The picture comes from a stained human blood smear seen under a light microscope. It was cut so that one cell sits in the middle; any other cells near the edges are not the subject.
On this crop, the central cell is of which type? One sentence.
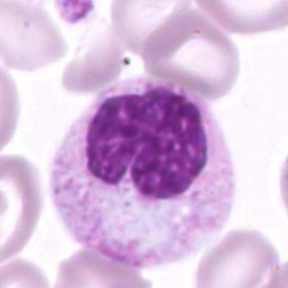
Regarding the central cell, it is a band neutrophil.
